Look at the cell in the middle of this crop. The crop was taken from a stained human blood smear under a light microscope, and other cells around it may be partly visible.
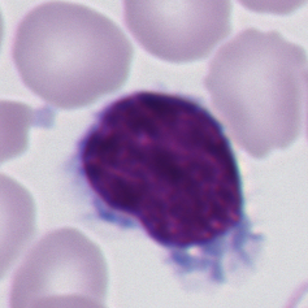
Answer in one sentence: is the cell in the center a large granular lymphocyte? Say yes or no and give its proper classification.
No, the middle cell is not a large granular lymphocyte, it being a typical lymphocyte.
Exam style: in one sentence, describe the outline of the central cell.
Its surface contour departs from smoothness through ragged edges or outward projections.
